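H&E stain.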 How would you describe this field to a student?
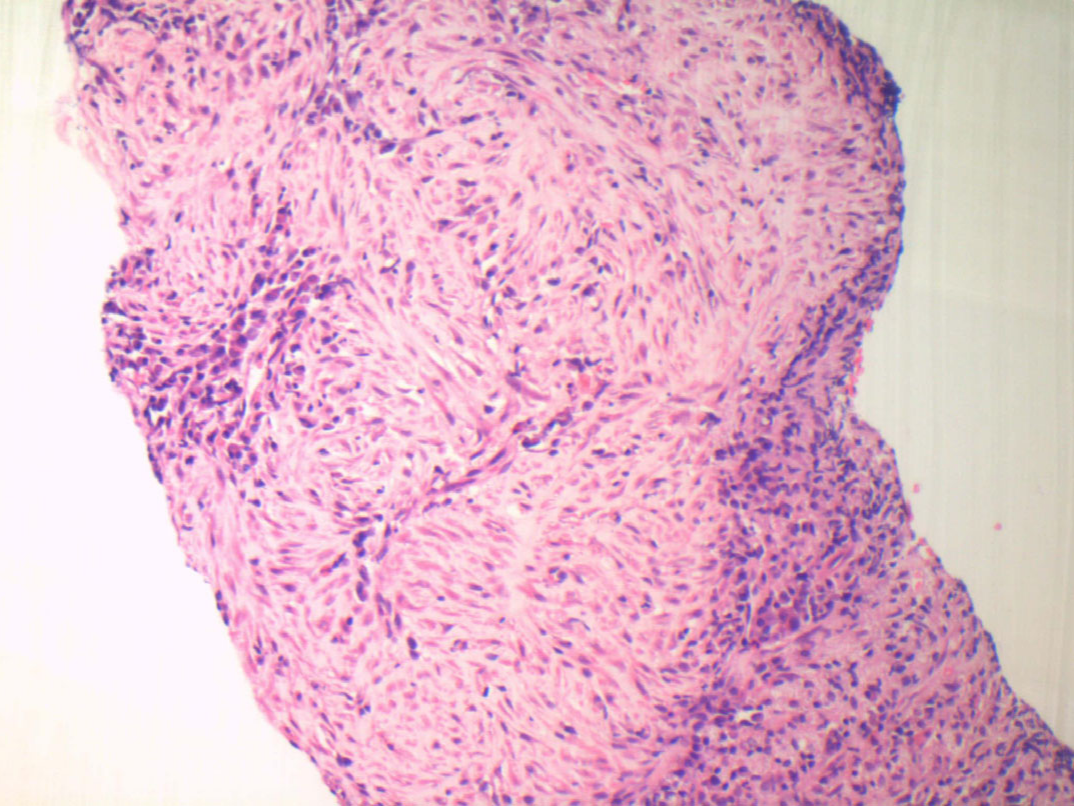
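This is a bland spindle cell lesion with foci of chronic inflammatory cells. Most of the tissue consists of elongated spindle cells with slender, tapering, fairly uniform nuclei and pale pink cytoplasm. They are set in a pale pink, fibrillary, collagen-rich stroma and are arranged in interlacing, swirling bundles and whorls. There is no marked nuclear enlargement or pleomorphism.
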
